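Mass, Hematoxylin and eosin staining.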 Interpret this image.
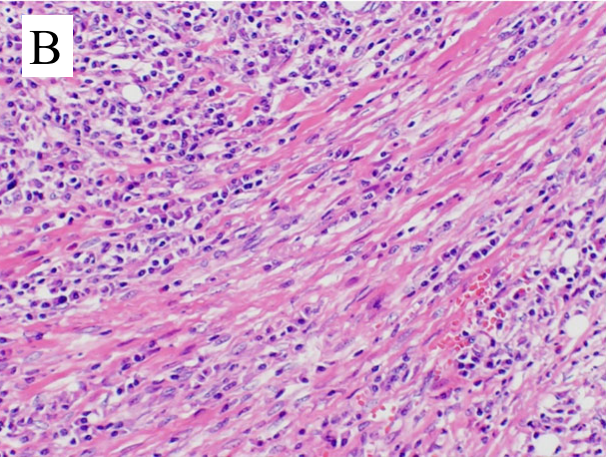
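Spindle cells with elongated, slender nuclei are arranged in streaming bundles, and these bundles are separated by pink collagen strands that run in the same direction. Mixed among the spindle cells are many small round cells with dark, compact nuclei, some of them with a rim of pink cytoplasm. They are densest toward the upper left. Red blood cells are clustered at the lower right.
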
